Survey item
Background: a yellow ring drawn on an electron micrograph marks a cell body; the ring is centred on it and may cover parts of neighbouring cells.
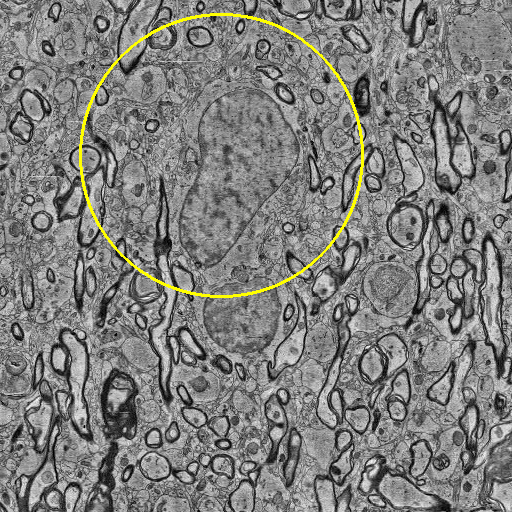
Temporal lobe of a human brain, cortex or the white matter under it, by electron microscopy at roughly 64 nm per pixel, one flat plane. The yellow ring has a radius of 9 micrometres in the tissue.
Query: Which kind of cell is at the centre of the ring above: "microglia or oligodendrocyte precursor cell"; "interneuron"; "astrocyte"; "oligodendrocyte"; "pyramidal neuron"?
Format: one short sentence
The cell in the middle of the ring is a microglial cell or oligodendrocyte precursor cell.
